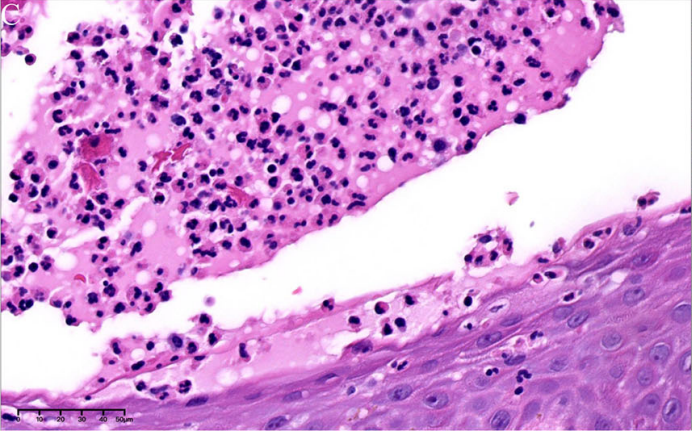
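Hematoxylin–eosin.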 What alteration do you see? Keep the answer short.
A: Microabscesses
